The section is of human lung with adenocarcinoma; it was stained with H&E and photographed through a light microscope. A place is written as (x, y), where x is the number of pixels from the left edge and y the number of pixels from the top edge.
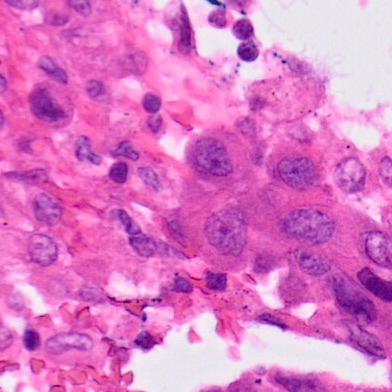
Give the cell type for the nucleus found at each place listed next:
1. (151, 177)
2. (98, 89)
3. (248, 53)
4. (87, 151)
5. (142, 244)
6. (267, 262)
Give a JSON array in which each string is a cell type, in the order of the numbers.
["macrophage or monocyte", "macrophage or monocyte", "lymphocyte", "macrophage or monocyte", "macrophage or monocyte", "carcinoma cell"]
